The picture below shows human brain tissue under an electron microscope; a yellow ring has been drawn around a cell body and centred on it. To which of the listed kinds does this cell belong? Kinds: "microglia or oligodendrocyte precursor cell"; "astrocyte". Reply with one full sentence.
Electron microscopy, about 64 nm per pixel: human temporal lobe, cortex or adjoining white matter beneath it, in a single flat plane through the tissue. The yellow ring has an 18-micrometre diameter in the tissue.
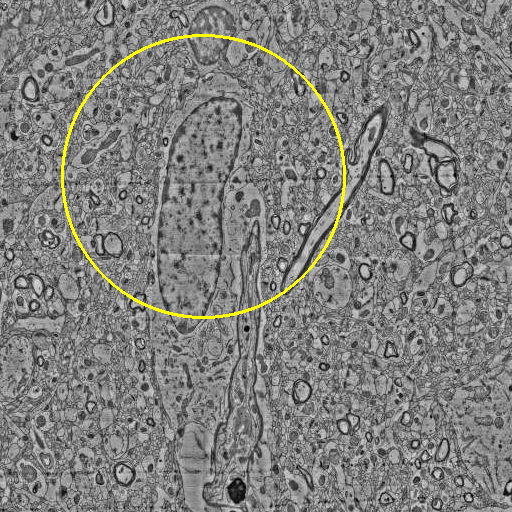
It is a microglial cell or oligodendrocyte precursor cell that the yellow ring in the picture is centred on.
